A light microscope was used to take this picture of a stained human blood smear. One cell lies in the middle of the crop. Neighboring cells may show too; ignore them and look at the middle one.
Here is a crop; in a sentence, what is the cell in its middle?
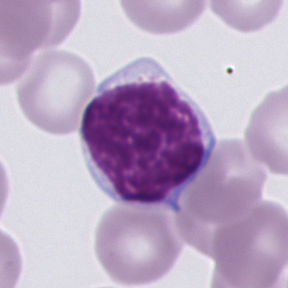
The cell around which this crop is centred is a large granular lymphocyte.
